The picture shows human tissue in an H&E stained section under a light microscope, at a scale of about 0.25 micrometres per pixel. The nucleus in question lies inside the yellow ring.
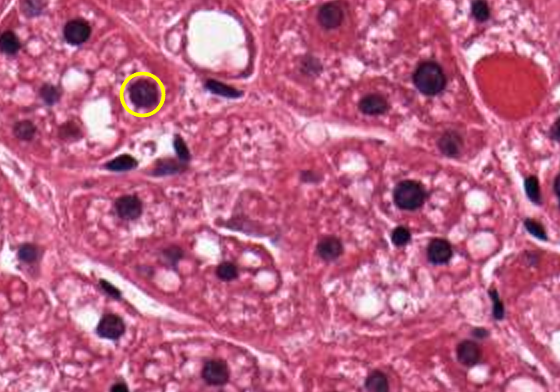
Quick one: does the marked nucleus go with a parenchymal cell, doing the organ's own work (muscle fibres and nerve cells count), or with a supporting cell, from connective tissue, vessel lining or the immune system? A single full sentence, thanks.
The marked nucleus is carried by a parenchymal cell, namely an adrenal cortical cell.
